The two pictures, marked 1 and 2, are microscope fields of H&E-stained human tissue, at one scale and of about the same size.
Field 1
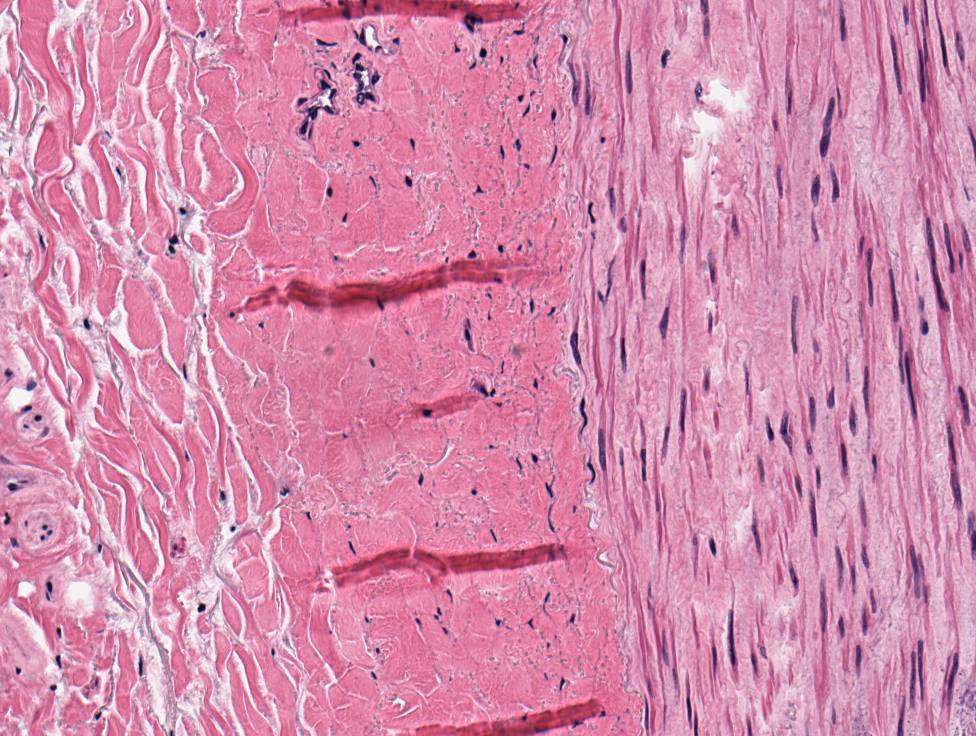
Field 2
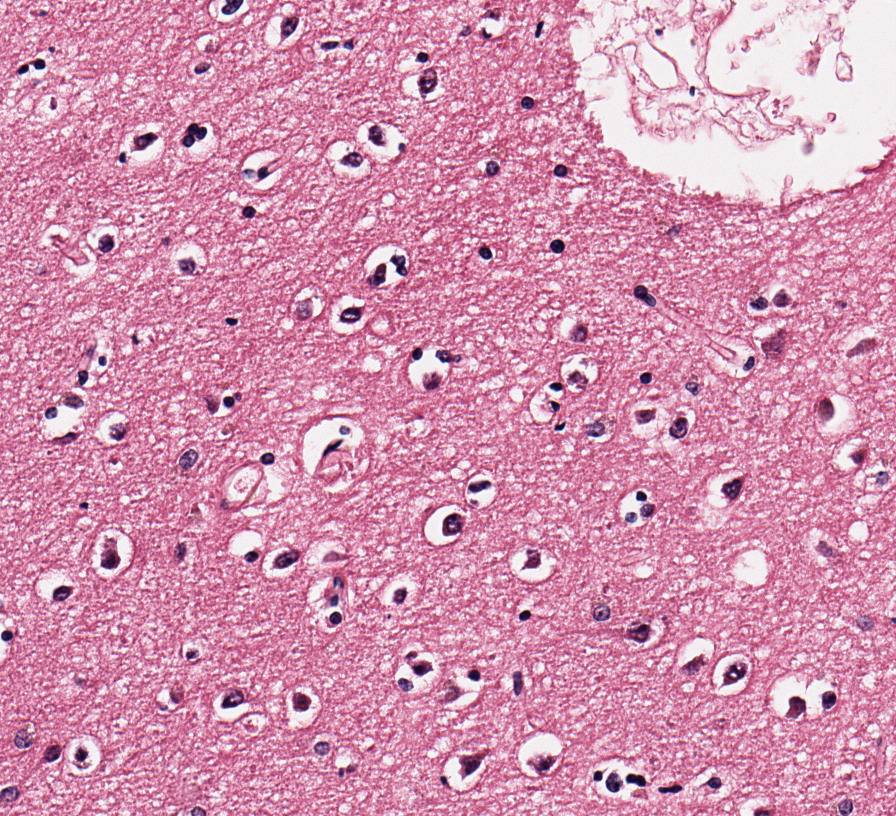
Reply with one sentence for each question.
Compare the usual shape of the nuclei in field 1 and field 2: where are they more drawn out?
Longer, more slender nuclei lie in field 1.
